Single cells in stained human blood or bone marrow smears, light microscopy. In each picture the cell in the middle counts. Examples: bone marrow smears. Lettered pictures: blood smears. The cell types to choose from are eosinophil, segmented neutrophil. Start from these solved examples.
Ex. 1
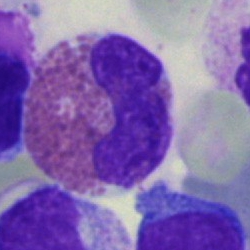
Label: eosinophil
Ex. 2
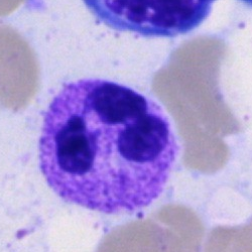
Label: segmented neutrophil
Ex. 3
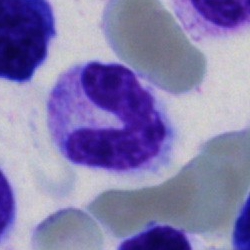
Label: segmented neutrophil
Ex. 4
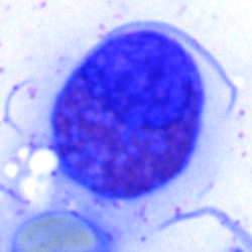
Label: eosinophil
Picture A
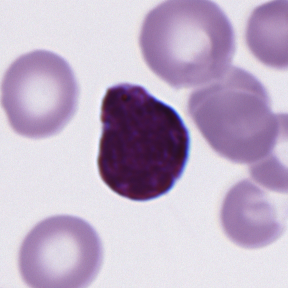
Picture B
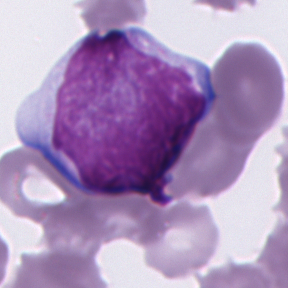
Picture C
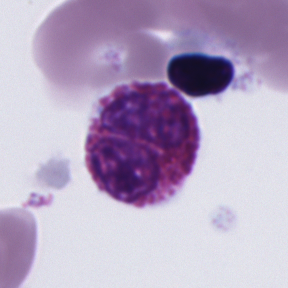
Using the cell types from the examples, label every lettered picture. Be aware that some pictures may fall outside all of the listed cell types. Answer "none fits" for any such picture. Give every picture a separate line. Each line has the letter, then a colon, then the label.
A: none fits
B: none fits
C: eosinophil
